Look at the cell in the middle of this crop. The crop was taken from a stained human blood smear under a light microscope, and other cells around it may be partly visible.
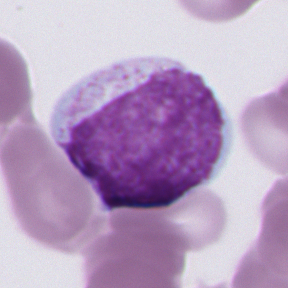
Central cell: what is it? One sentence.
The identification for the central cell is a myelocyte.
